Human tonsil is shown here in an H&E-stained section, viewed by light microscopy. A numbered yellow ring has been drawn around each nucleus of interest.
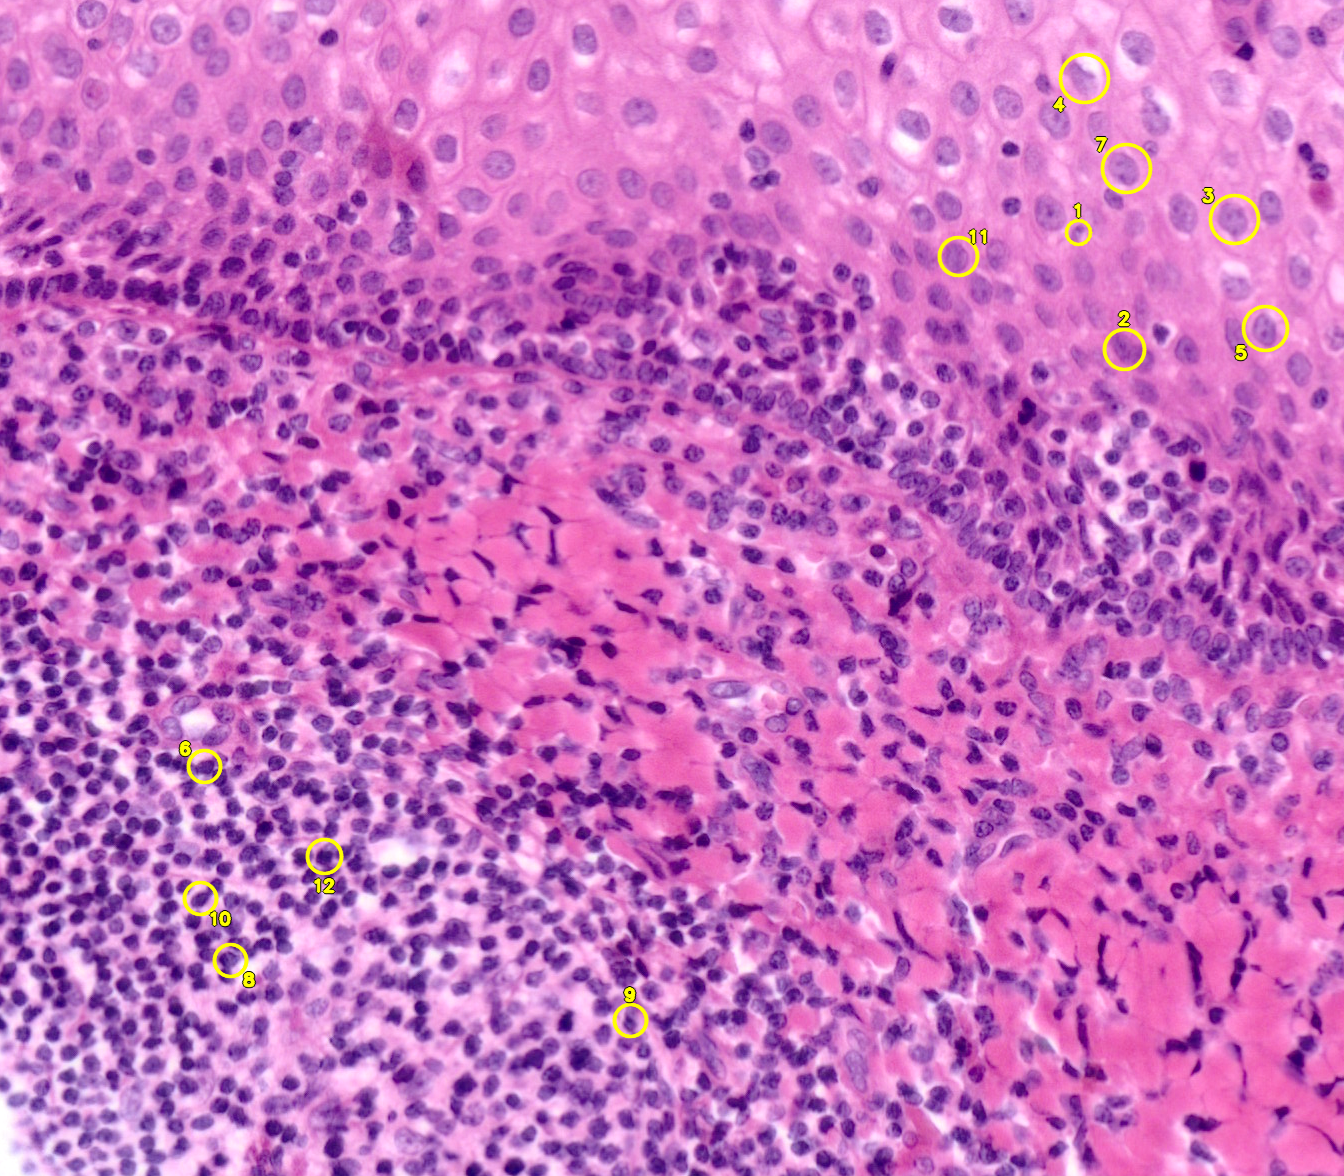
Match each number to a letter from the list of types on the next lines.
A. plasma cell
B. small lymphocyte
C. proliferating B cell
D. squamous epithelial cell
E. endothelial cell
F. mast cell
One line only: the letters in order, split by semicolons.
D; D; D; D; D; B; D; B; B; B; D; B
